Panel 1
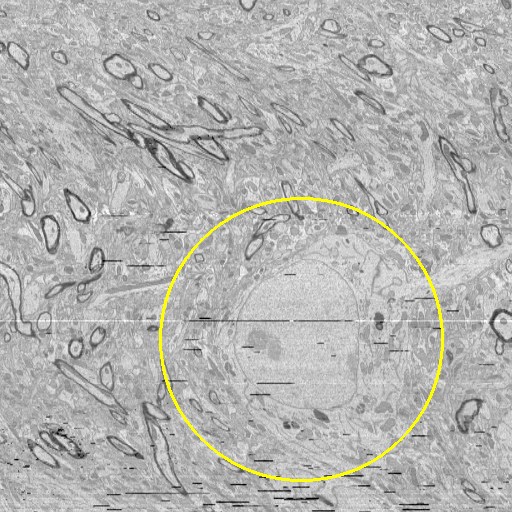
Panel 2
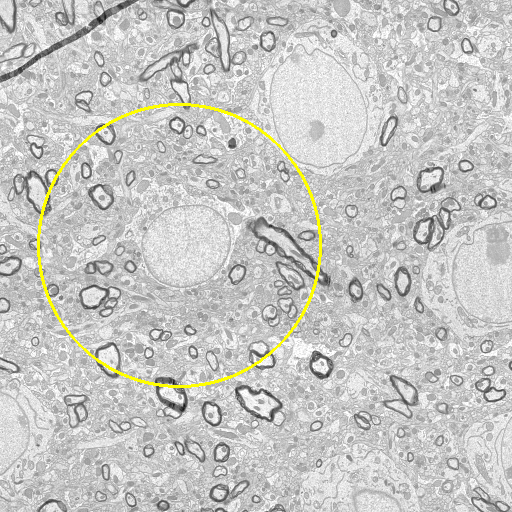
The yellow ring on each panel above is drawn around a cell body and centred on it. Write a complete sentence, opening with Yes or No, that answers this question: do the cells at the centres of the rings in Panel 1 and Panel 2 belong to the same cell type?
No, the two cells belong to two cell types.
